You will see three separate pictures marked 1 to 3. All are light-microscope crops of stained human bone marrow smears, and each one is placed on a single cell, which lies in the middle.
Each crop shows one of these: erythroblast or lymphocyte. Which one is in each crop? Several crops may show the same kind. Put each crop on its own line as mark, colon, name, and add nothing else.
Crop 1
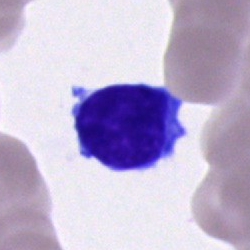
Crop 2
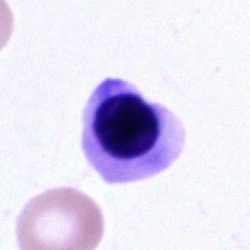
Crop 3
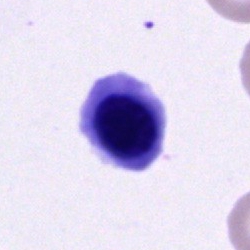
1: lymphocyte
2: erythroblast
3: erythroblast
